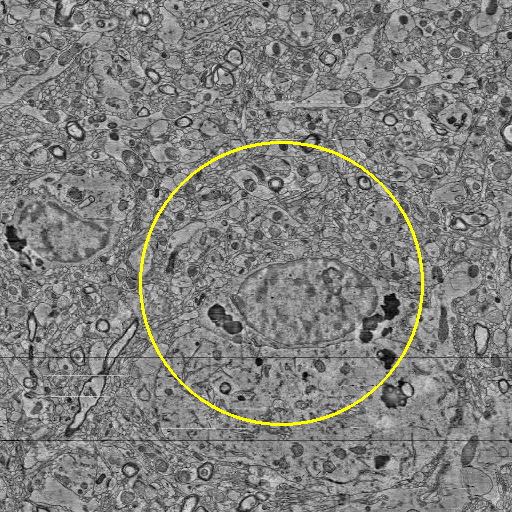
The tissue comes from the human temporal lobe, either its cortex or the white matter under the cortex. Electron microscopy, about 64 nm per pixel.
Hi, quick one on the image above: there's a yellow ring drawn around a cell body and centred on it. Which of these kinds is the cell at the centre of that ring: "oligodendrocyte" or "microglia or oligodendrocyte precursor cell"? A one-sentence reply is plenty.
The cell at the centre of the ring is an oligodendrocyte.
